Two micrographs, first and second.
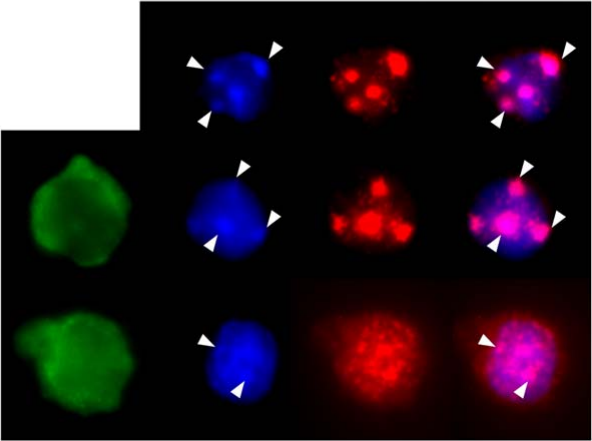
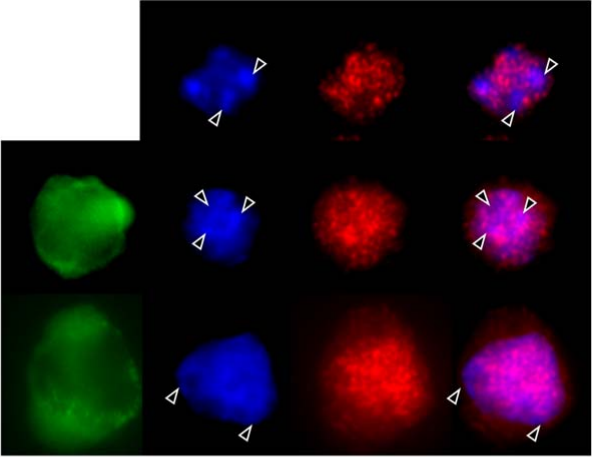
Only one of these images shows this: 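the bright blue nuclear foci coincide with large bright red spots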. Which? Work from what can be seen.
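First image: the red channel shows a few large bright spots that sit on the blue foci, turning pink in the merge. Second image: the red signal is fine and speckled across the nucleus, and the marked blue foci stay blue in the merge.
The first image.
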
